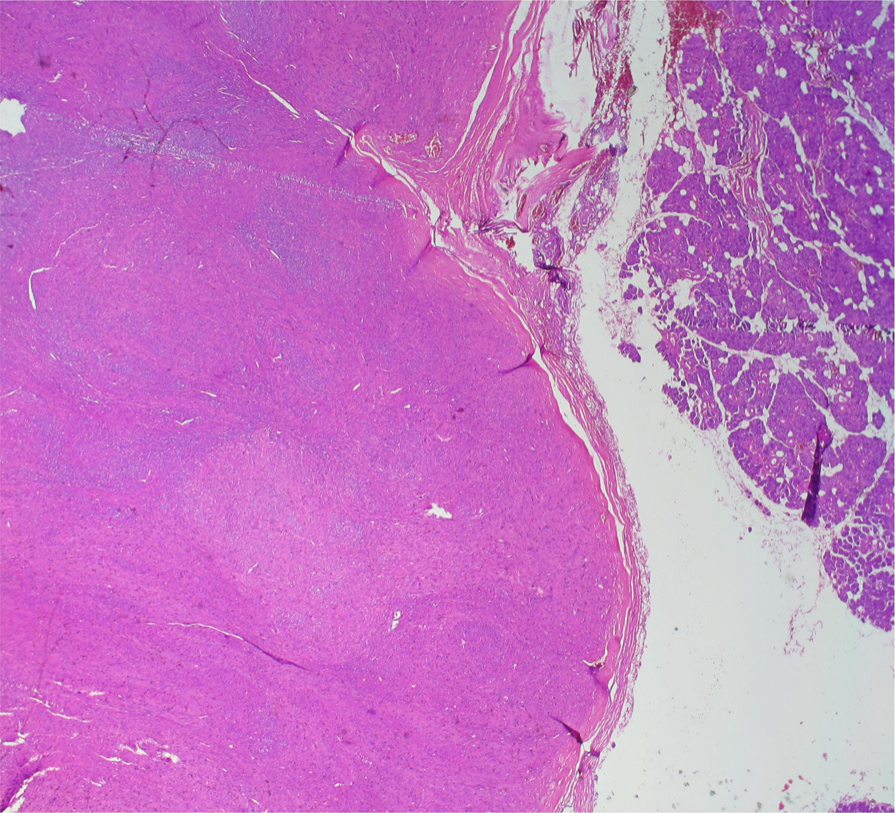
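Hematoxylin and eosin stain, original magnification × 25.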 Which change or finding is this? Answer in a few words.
well-circumscribed, fascicular proliferation of spindle shaped cells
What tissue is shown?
Salivary parenchyma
